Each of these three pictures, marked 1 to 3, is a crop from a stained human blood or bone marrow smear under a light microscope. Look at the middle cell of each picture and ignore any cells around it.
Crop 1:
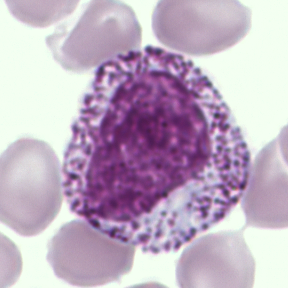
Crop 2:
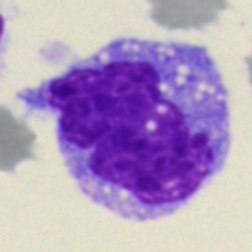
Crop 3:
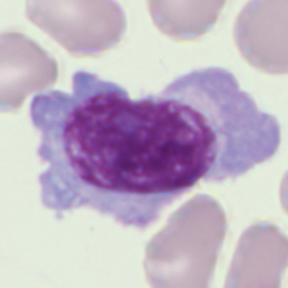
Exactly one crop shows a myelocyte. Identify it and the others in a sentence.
Shown in crop 1 is a myelocyte, whereas crop 2 is a monocyte and crop 3 is a plasma cell.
